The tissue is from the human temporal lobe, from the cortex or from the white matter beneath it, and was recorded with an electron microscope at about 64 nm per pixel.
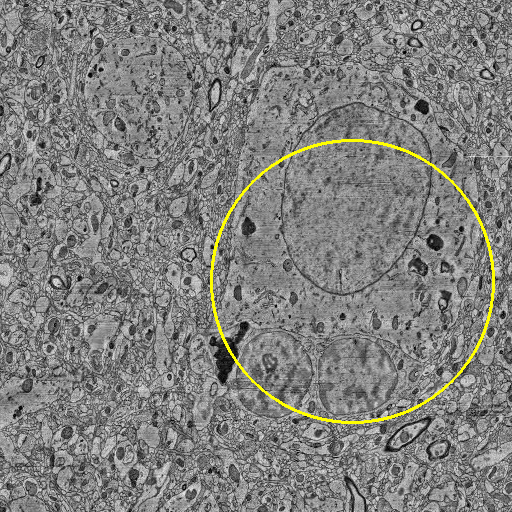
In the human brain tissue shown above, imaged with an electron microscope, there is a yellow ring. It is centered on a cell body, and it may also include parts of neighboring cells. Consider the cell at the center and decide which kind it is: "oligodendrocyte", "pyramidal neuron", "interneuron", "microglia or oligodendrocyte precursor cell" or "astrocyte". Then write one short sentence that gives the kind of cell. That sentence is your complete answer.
This centered cell body is that of a pyramidal neuron.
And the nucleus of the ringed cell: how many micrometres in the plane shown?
The nucleus is approximately 13 micrometers long by 9 micrometers wide in this plane.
